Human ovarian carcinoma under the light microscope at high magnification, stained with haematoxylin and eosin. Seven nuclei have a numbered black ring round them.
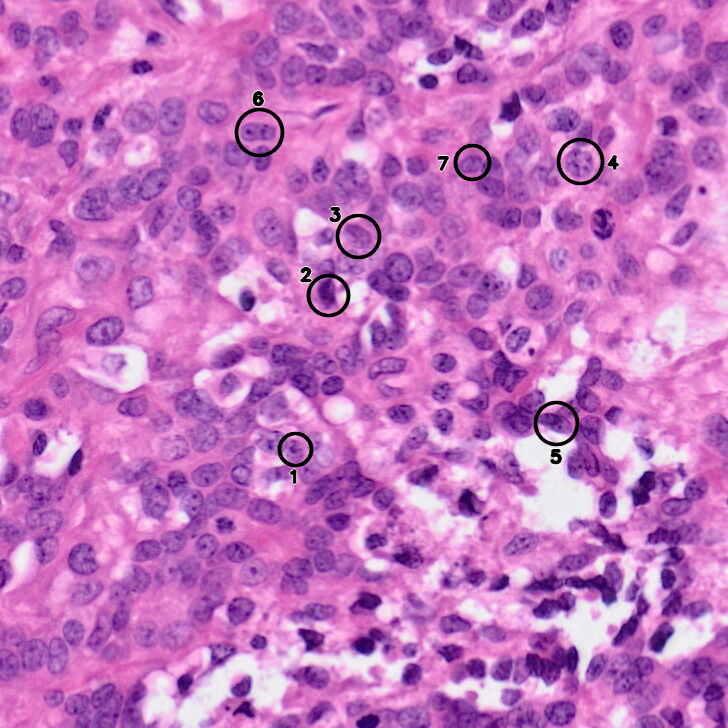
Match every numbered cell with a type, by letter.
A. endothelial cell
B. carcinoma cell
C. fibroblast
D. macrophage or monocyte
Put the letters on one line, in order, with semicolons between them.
D; B; B; D; B; D; B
